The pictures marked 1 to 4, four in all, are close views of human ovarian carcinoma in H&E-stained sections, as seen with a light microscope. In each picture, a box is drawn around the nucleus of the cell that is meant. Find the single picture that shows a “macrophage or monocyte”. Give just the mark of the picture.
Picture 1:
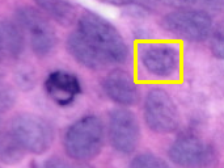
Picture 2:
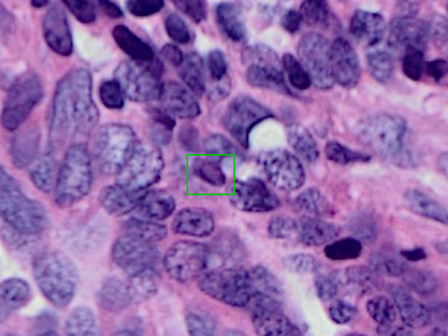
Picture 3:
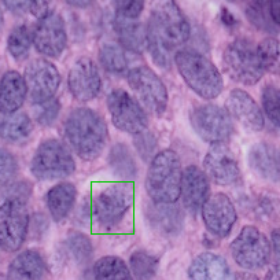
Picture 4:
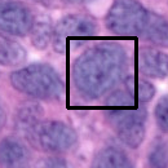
1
